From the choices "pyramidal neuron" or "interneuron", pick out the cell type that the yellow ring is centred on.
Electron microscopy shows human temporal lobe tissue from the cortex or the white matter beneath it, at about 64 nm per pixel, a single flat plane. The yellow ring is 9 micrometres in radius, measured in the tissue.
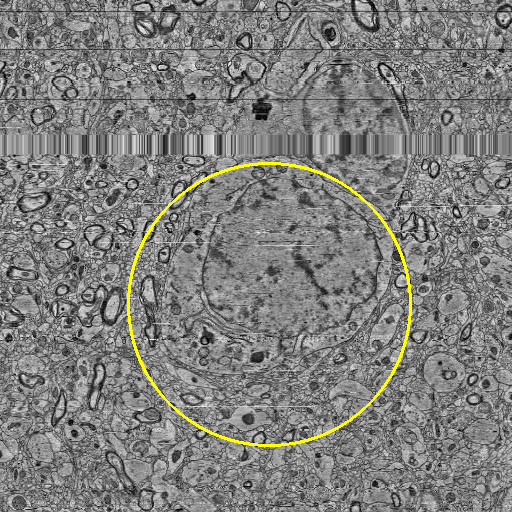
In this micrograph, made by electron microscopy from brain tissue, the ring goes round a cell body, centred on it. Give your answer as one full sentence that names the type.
The yellow ring is centred on an interneuron, whose cell body it encircles in the picture.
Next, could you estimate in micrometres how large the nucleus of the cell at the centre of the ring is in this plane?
In this plane, approximately 11 micrometres across.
